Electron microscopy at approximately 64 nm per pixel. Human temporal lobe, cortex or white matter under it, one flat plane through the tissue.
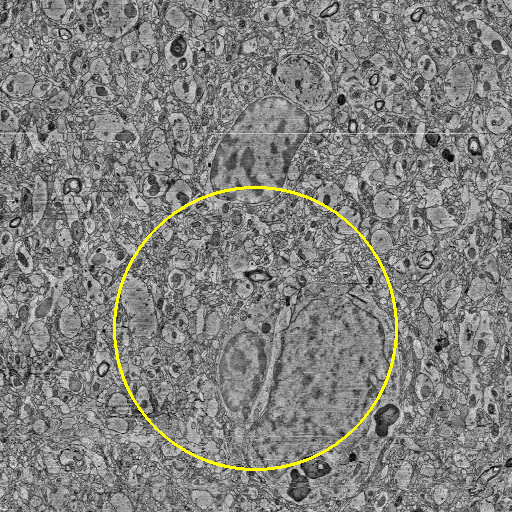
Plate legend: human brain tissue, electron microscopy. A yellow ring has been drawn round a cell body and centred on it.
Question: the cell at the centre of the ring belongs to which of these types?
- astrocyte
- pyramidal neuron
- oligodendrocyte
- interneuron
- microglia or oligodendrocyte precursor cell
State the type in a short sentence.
The cell in the middle of the ring is an oligodendrocyte.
